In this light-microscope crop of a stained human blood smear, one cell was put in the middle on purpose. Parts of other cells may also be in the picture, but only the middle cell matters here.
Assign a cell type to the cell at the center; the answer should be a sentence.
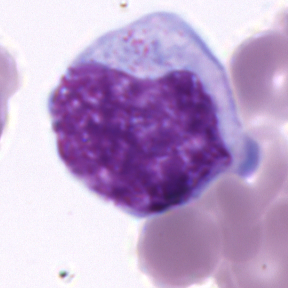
What sits at the centre of this crop is a promyelocyte.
